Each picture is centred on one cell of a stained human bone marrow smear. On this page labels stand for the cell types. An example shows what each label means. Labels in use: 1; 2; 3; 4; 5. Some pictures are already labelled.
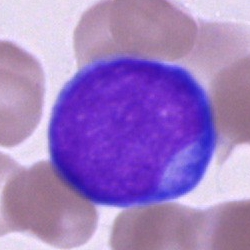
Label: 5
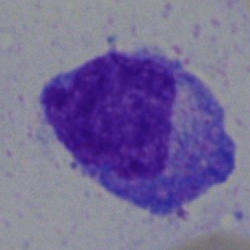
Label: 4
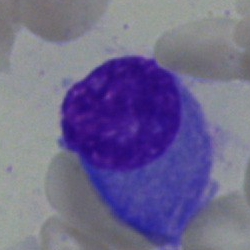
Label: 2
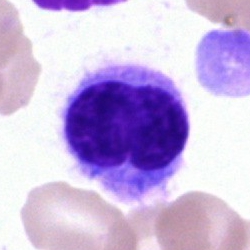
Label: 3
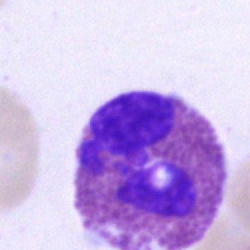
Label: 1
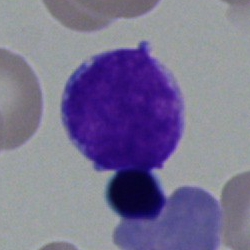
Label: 5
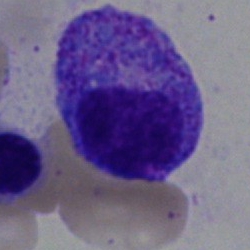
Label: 4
